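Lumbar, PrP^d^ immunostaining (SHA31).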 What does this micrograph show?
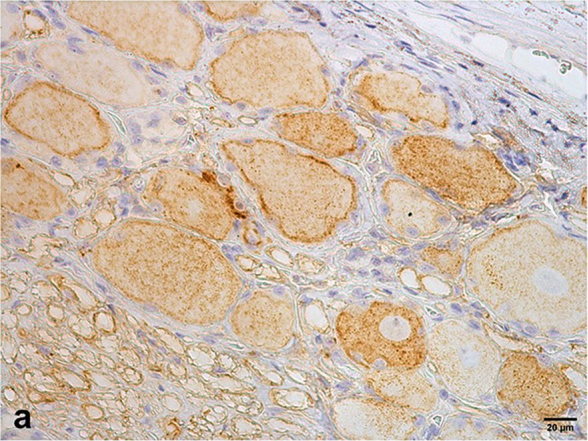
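This is a spinal root ganglion with large rounded ganglion cell bodies packed in clusters. Their cytoplasm is filled with fine brown granules, and some show a pale round nucleus with a small nucleolus. Around each large cell lie small blue nuclei of the enveloping satellite cells, and here and there darker brown clumps sit at the rims of the cell bodies. Toward the bottom the ganglion gives way to bundles of nerve fibres cut in cross-section.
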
